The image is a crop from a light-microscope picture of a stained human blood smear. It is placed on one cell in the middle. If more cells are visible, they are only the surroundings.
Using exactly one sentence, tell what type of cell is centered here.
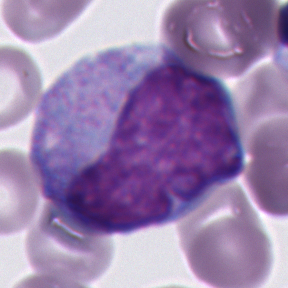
The cell found in the middle of this crop is a promyelocyte.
